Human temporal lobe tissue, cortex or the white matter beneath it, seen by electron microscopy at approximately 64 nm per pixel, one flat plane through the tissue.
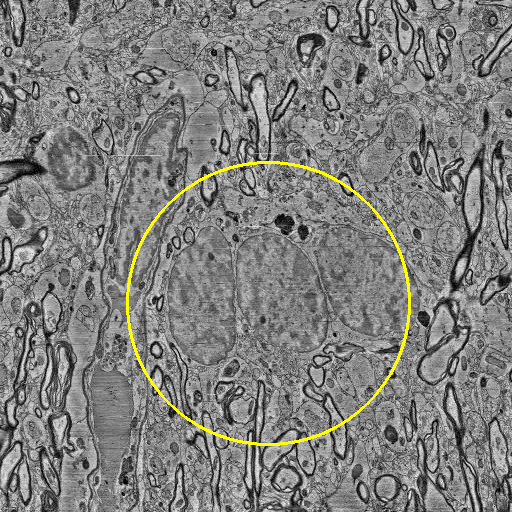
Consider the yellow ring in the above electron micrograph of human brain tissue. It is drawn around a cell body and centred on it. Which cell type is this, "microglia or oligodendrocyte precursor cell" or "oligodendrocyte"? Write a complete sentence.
The cell in question is an oligodendrocyte.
